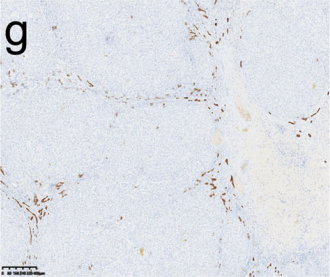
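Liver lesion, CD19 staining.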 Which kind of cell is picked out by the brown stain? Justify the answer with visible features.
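Brown-stained small cells lie along thin bands between pale unstained areas. Brown cells form small elongated clusters and strands.
Answer: bile duct cell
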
